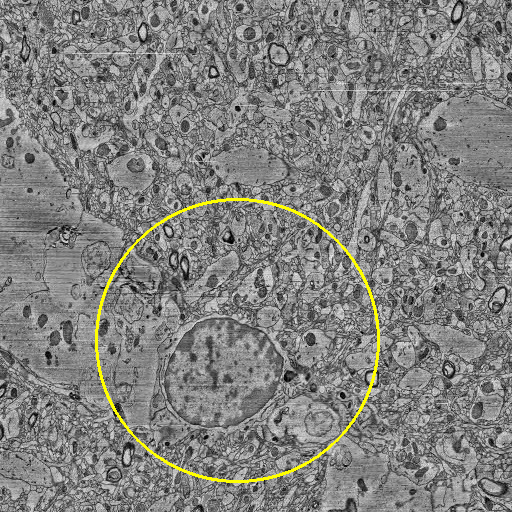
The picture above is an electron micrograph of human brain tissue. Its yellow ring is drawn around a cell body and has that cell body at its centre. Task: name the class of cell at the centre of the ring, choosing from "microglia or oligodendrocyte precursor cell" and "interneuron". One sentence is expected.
The ring surrounds the body of a microglial cell or oligodendrocyte precursor cell.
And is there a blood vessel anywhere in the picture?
Yes, one is visible.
